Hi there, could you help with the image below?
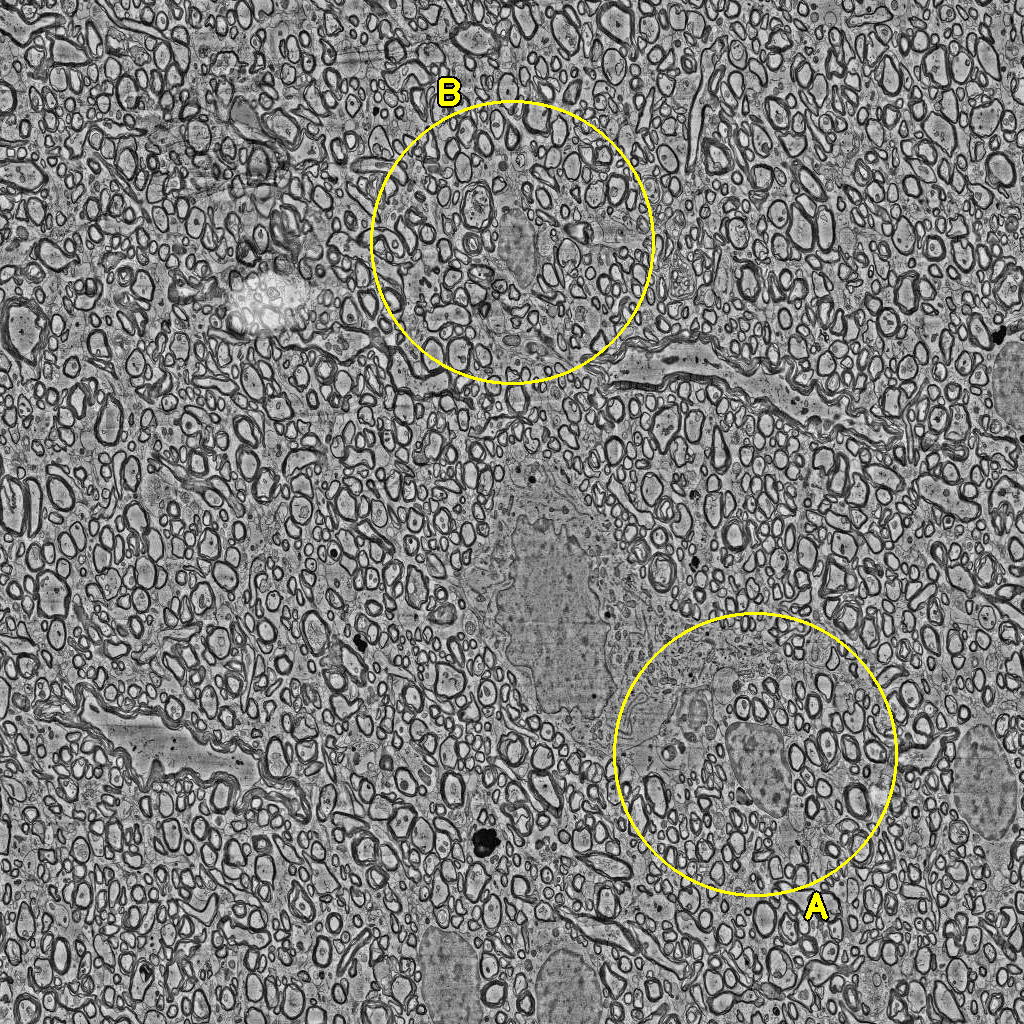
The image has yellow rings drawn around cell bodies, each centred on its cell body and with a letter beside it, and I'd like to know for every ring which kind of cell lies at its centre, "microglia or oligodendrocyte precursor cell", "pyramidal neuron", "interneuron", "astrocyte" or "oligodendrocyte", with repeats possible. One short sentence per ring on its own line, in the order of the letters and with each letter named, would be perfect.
Ring A is placed around a microglial cell or oligodendrocyte precursor cell.
Ring B is placed around an oligodendrocyte.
